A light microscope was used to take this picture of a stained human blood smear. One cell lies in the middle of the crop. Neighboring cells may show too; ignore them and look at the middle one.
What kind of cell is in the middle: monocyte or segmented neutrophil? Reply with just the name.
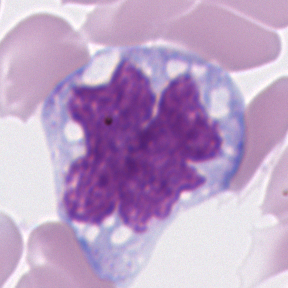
monocyte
